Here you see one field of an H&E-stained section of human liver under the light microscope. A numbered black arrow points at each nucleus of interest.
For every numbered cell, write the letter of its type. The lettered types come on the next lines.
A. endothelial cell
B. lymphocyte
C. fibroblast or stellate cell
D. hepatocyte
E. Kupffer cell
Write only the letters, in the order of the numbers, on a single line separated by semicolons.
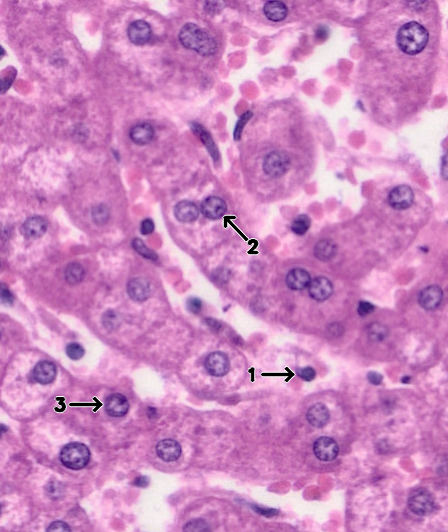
B; D; D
